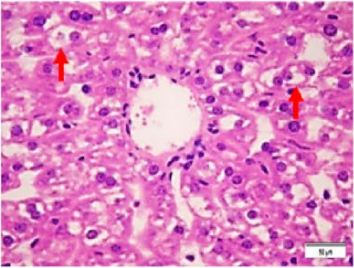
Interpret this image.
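This is liver tissue around a central vein containing a few red blood cells, surrounded by hepatocytes whose regular plate arrangement is lost. Many hepatocytes are swollen with pale, loose, vacuolated cytoplasm and clear spaces between them, while their round purple nuclei remain visible. Small dark nuclei are scattered among the liver cells and around the vein.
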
